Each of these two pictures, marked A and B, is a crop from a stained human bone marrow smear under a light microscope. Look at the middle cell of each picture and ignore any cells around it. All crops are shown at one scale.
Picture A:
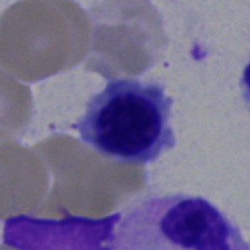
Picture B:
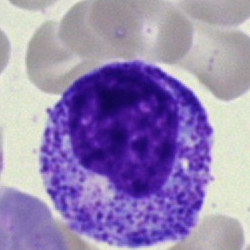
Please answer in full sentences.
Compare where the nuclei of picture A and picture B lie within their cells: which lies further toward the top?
It is the nucleus in picture B that lies further toward the top of its cell.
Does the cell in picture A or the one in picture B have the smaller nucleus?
It is the nucleus in picture A; the one in picture B has about 4 times its area.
